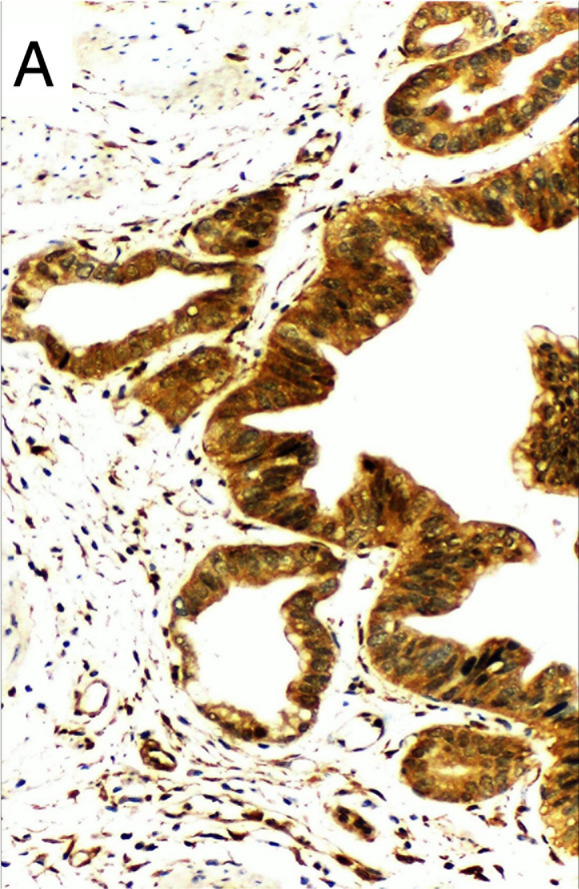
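Irregular, branching glands are lined by tall columnar epithelial cells with crowded, enlarged nuclei that are stacked at different levels, surrounding open lumina. Around the glands lies loose, pale fibrous stroma with scattered spindle-shaped cells and small vessels, some of which are also brown. The gland-forming malignant epithelium is that of an adenocarcinoma.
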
